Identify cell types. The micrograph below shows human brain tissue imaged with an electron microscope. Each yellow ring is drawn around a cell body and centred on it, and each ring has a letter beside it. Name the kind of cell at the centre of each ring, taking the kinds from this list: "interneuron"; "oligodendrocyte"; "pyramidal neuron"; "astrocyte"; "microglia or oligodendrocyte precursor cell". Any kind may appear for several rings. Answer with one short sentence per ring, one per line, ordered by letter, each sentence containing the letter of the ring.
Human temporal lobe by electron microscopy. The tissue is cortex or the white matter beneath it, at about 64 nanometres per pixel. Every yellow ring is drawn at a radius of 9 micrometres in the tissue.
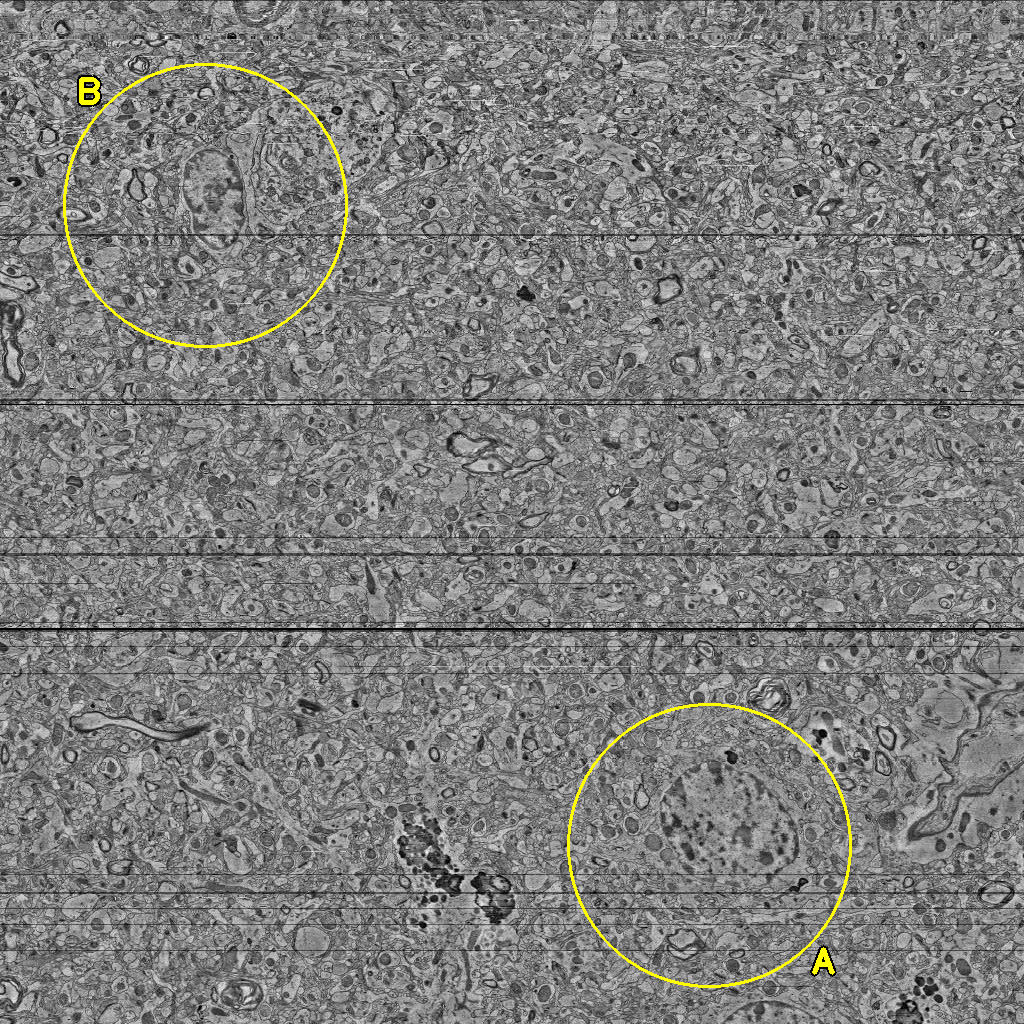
Ring A marks an astrocyte.
Ring B marks a microglial cell or oligodendrocyte precursor cell.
